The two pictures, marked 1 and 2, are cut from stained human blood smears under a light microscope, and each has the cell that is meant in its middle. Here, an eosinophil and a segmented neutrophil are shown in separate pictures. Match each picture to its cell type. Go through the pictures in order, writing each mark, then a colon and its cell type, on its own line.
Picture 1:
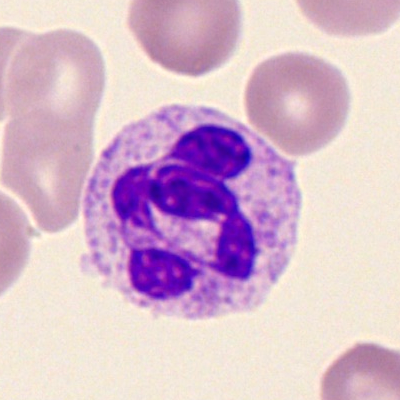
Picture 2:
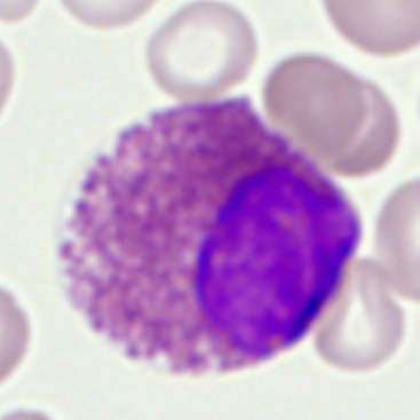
1: segmented neutrophil
2: eosinophil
